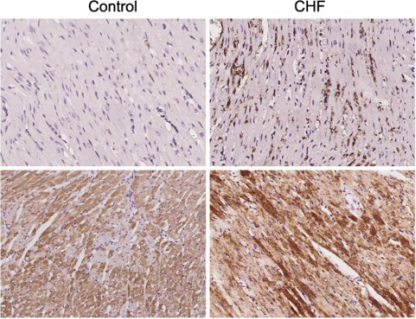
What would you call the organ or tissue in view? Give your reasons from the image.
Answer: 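Myocardial tissue. Elongated fibres arranged in parallel bundles. Elongated blue nuclei scattered along the fibres. Brown cytoplasmic staining follows the fibres in the lower images.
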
